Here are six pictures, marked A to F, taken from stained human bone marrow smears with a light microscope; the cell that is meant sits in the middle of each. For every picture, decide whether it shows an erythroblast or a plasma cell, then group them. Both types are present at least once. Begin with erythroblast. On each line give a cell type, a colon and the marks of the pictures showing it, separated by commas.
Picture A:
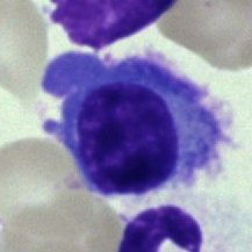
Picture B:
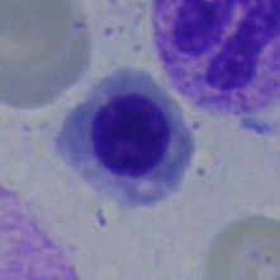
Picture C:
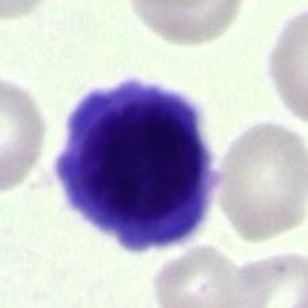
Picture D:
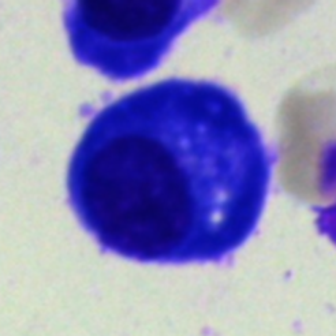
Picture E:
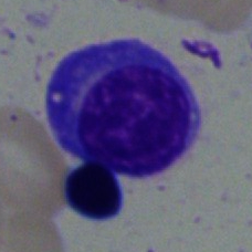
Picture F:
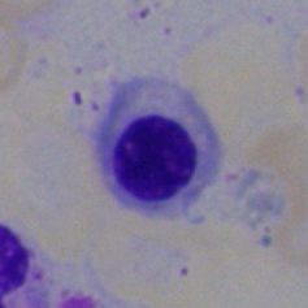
erythroblast: B, C, F
plasma cell: A, D, E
